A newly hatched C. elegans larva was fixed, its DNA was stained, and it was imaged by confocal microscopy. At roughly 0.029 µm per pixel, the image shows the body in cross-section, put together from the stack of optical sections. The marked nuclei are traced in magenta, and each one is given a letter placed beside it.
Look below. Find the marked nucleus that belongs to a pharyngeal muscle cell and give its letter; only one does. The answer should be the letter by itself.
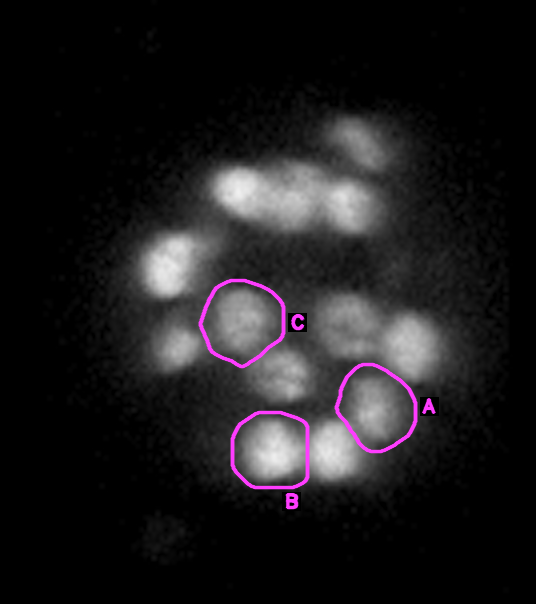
C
